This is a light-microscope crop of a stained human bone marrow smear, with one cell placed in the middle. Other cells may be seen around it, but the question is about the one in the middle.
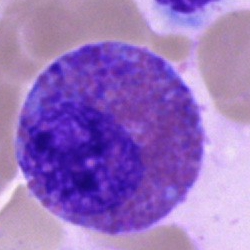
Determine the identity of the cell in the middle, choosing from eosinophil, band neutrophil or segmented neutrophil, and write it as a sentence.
The cell of interest, in the center, is an eosinophil.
